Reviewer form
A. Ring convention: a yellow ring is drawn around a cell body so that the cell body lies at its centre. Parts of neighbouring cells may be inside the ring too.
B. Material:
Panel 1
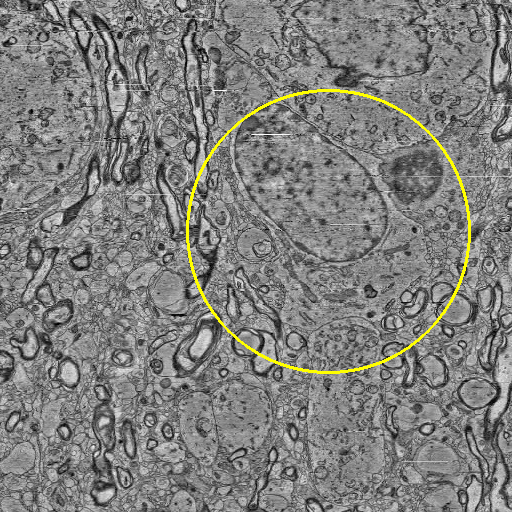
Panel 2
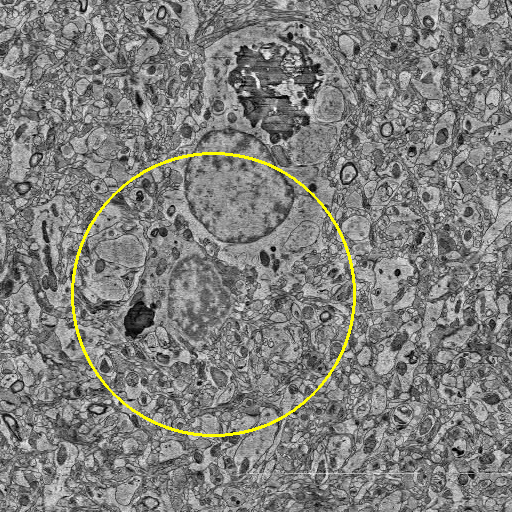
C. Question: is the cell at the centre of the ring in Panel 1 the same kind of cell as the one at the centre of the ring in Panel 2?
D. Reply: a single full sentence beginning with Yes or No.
No, the cells in Panel 1 and Panel 2 are two kinds of cell.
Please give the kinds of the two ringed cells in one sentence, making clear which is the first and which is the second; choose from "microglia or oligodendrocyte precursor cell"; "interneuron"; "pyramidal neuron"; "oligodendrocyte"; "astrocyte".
In the second picture the ringed cell is an oligodendrocyte; in the first it is a microglial cell or oligodendrocyte precursor cell.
